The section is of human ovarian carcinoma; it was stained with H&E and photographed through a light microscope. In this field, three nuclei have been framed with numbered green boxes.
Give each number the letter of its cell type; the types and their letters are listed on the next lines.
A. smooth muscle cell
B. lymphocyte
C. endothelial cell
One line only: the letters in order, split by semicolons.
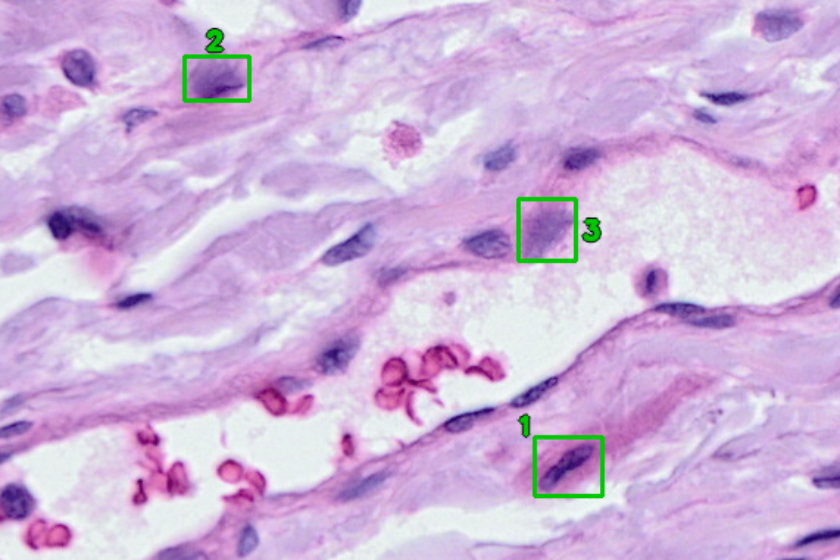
A; C; C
